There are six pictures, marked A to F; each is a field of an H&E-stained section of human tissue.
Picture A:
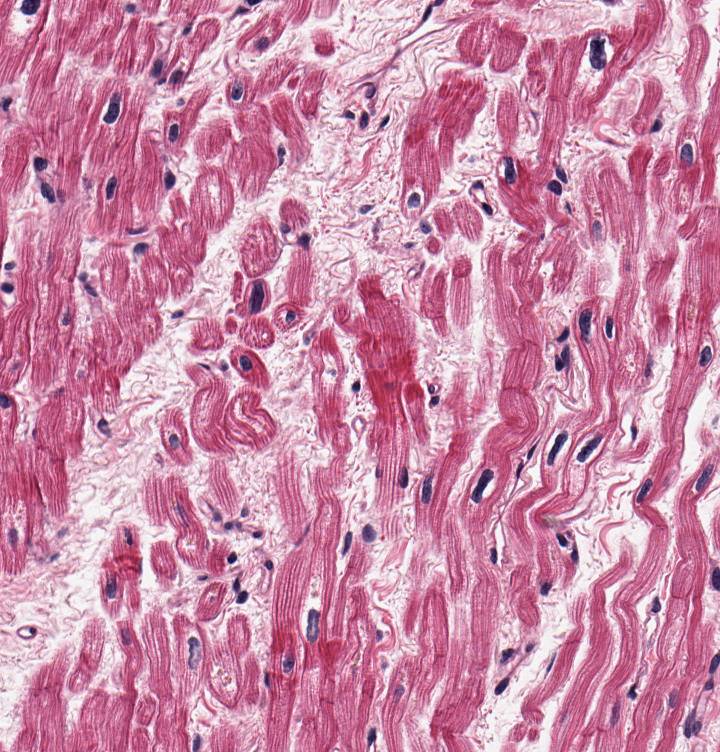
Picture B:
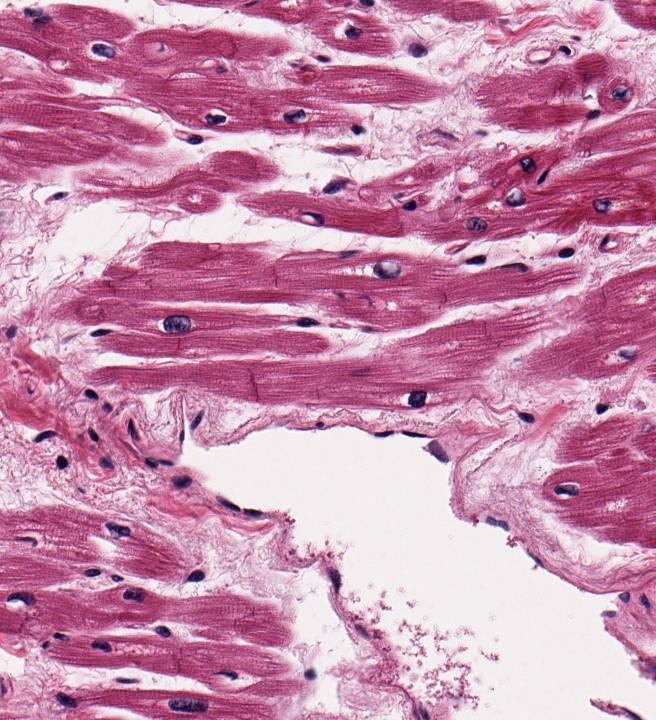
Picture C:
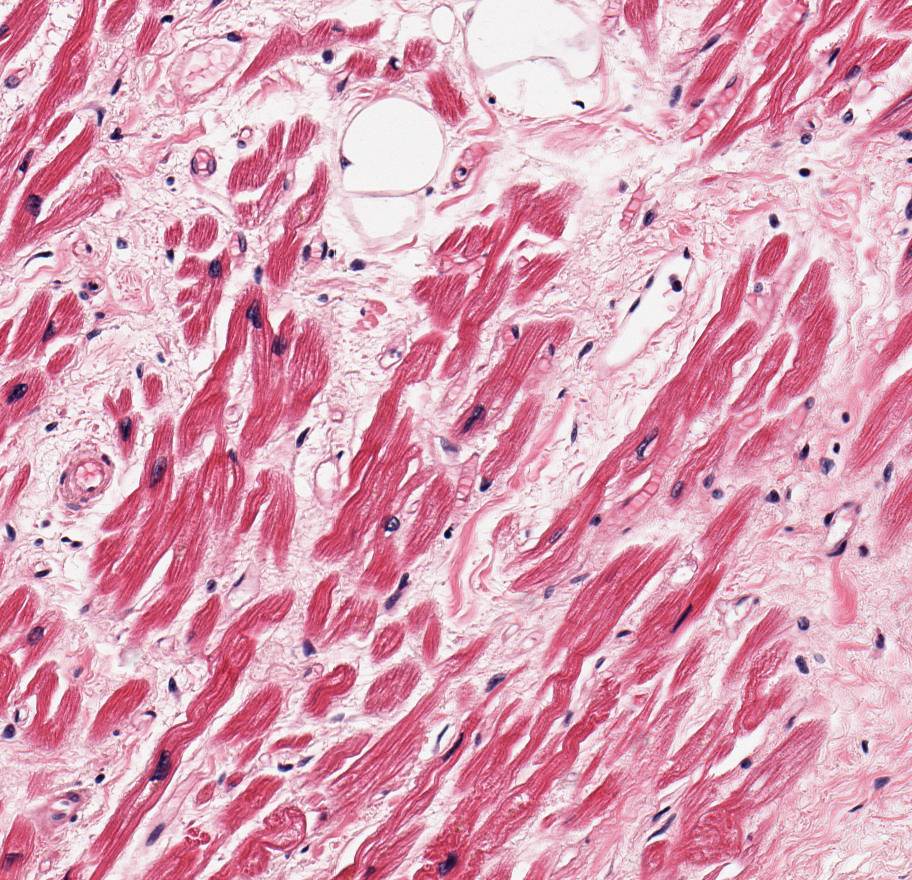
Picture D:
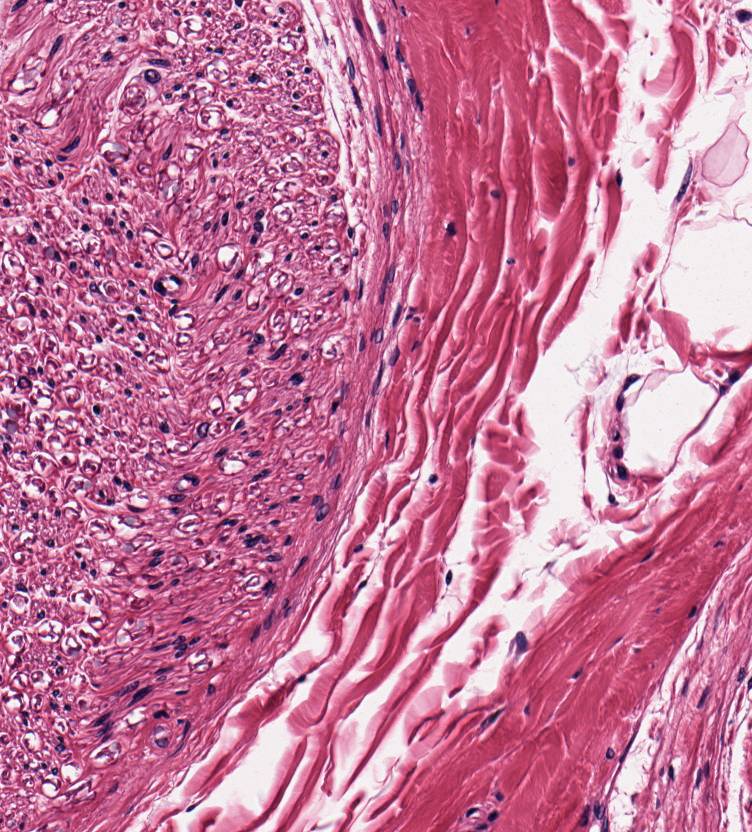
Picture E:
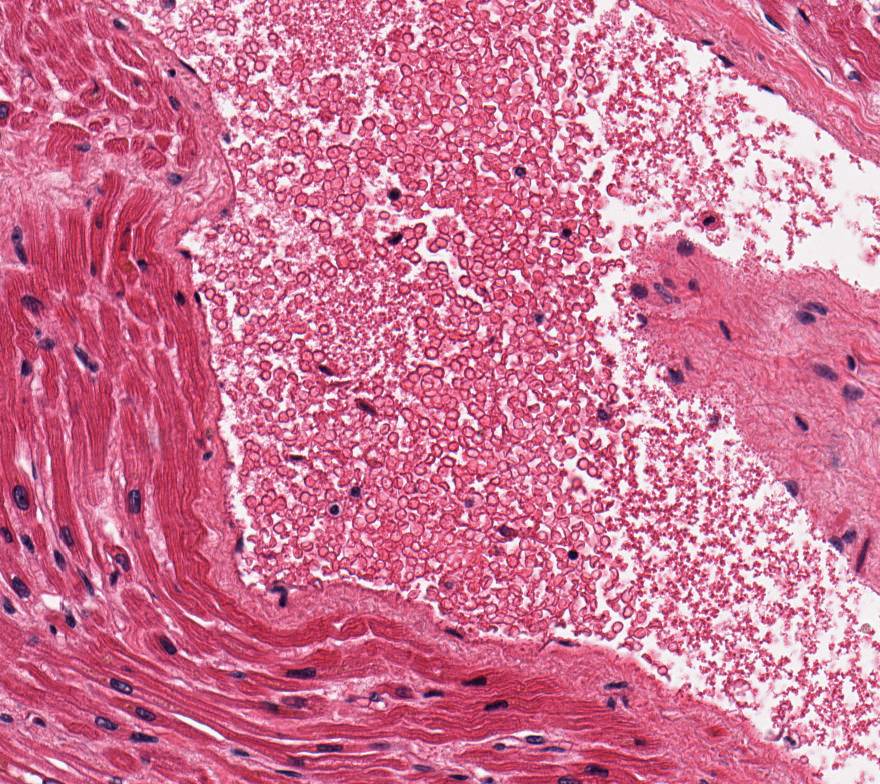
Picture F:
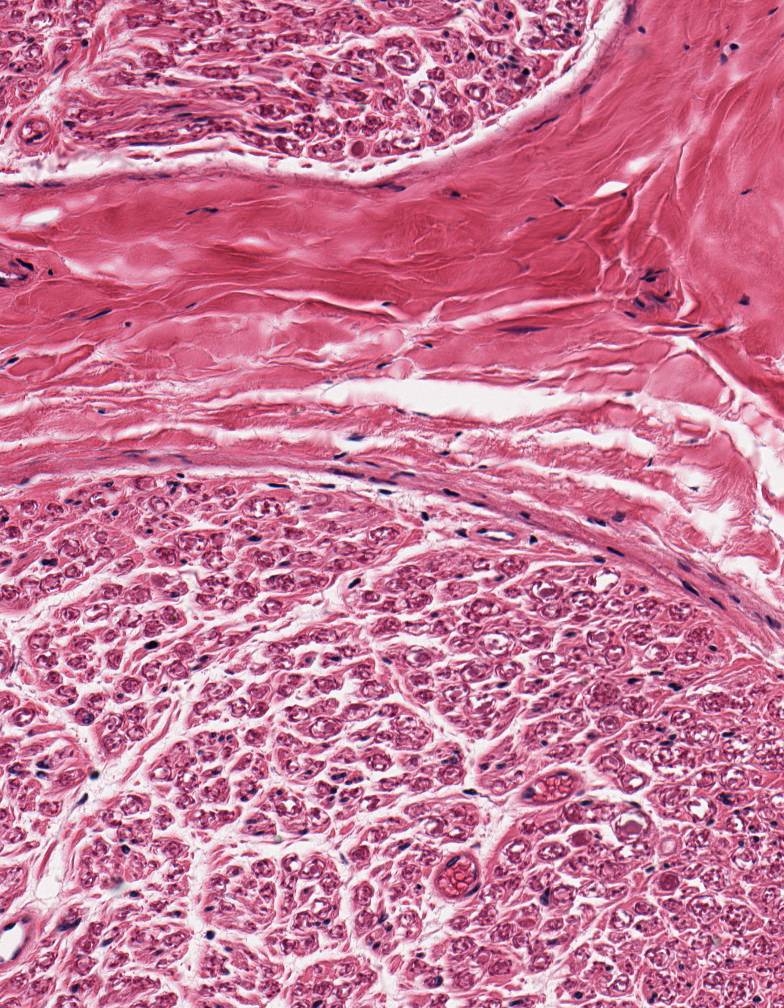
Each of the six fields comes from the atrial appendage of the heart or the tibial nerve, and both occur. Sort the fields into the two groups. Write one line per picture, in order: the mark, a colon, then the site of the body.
A: atrial appendage of the heart
B: atrial appendage of the heart
C: atrial appendage of the heart
D: tibial nerve
E: atrial appendage of the heart
F: tibial nerve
